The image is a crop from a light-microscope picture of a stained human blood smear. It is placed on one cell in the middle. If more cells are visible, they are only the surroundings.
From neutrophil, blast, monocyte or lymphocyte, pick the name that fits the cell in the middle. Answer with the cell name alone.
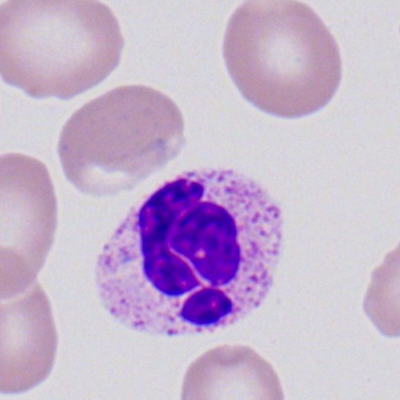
neutrophil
